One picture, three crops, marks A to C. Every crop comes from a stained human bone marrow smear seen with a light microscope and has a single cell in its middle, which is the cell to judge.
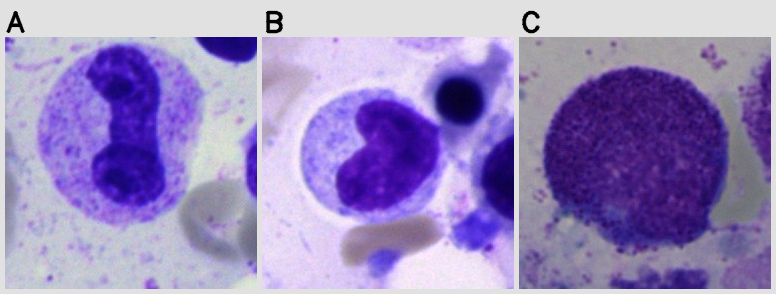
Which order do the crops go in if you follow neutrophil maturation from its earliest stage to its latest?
C, B, A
